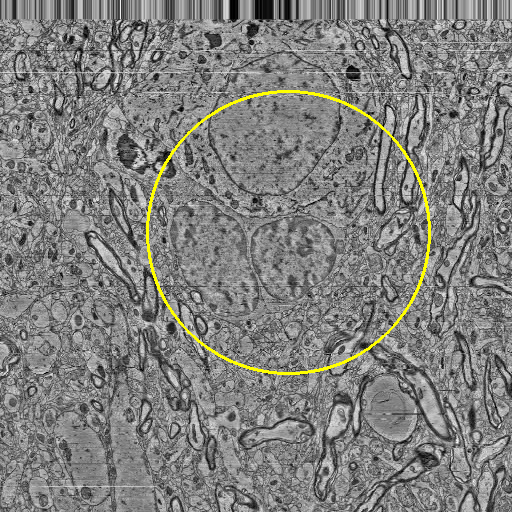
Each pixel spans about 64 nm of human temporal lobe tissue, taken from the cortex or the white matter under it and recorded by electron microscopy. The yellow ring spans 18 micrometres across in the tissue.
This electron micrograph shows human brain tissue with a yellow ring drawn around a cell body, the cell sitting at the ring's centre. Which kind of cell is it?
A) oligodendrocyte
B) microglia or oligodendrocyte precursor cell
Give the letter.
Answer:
A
